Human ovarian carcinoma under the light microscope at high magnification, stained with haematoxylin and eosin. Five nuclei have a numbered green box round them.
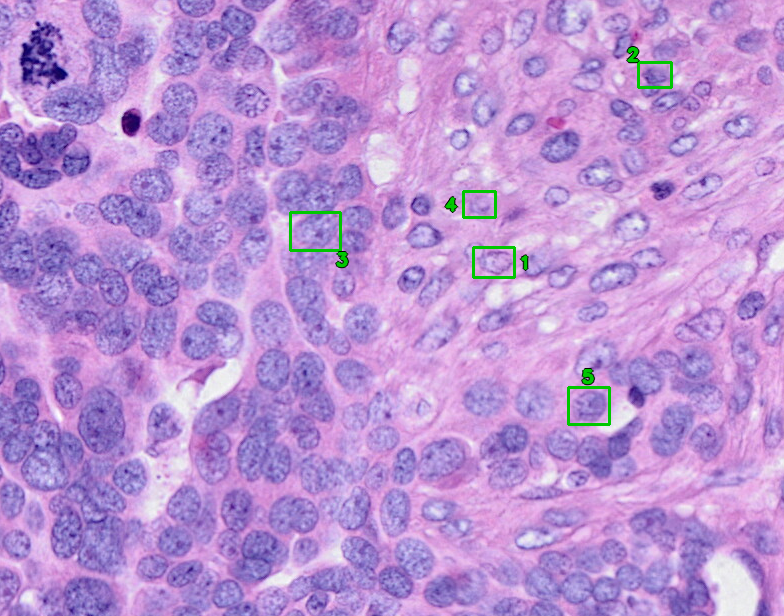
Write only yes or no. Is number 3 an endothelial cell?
no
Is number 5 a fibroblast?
no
